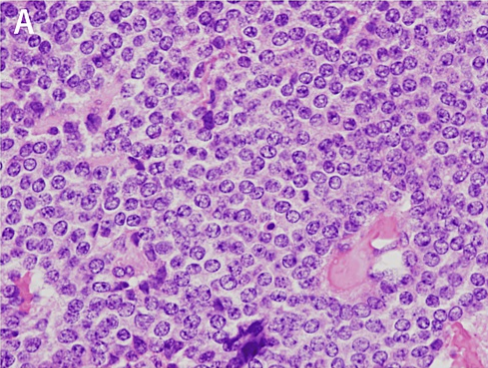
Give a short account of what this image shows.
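A sheet of closely packed, uniform tumor cells with round to oval purple nuclei taking up most of each cell and only scant pale cytoplasm between them. The nuclei have finely granular chromatin and look much alike from cell to cell. Scattered small pink areas and a few dark purple irregular bodies lie among the cells.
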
